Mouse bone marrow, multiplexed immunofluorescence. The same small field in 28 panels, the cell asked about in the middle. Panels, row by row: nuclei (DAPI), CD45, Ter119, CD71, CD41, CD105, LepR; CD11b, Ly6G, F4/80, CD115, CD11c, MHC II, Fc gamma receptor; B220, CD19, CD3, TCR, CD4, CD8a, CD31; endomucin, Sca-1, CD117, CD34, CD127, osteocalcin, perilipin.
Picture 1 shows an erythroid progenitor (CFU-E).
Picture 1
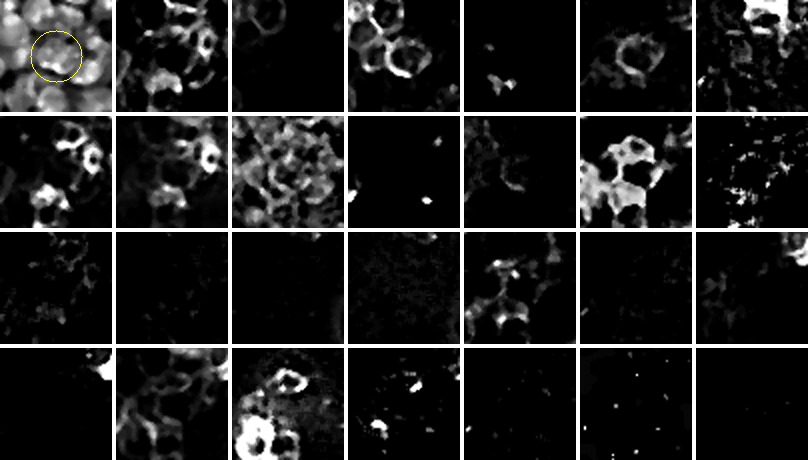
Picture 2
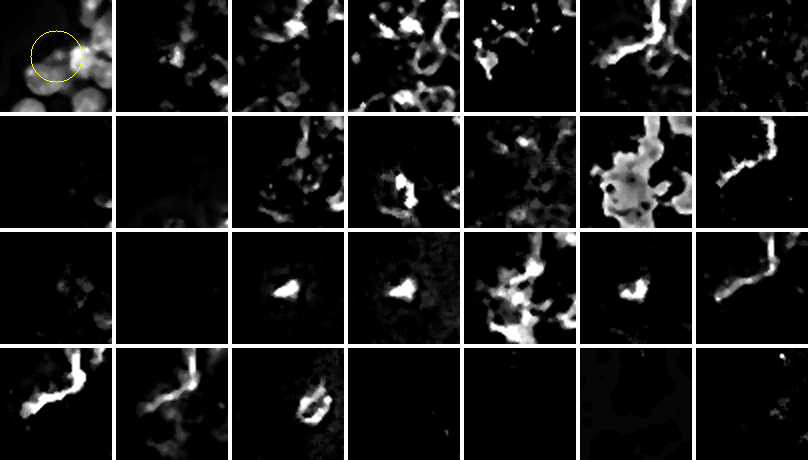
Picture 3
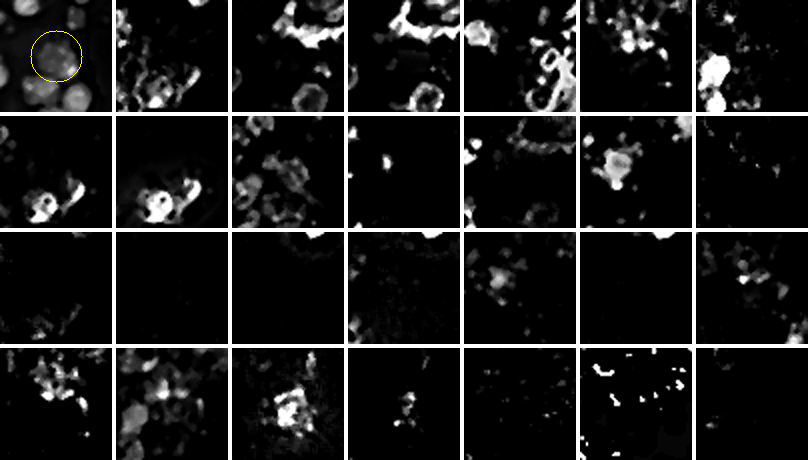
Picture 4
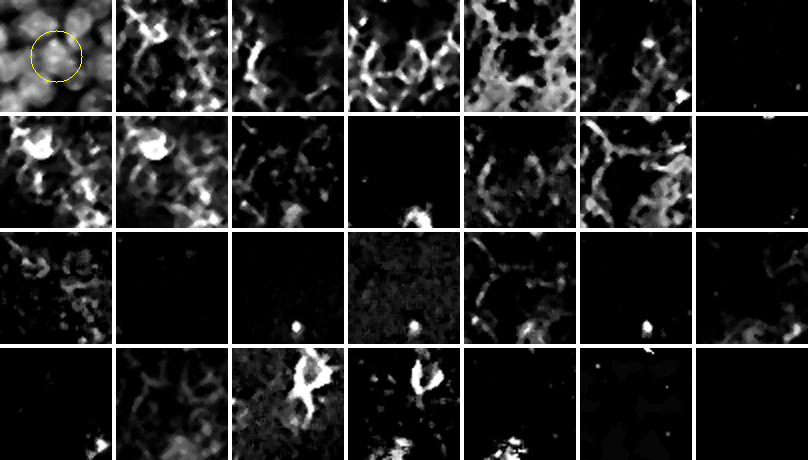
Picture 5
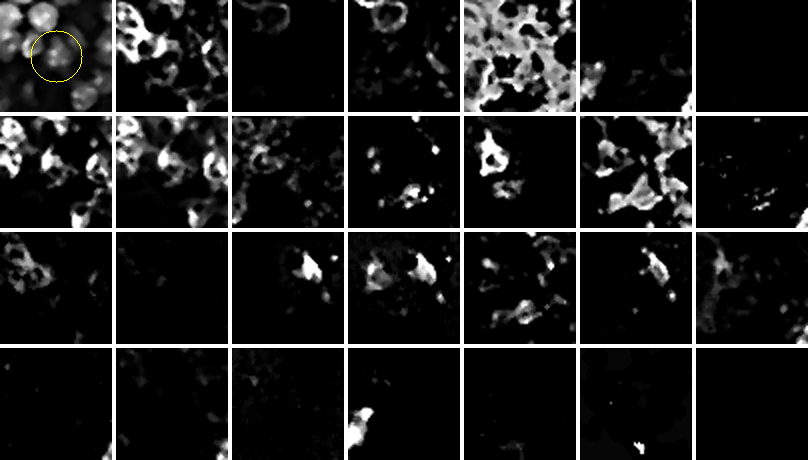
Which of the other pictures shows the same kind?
Picture 4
